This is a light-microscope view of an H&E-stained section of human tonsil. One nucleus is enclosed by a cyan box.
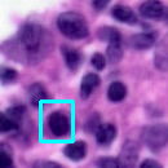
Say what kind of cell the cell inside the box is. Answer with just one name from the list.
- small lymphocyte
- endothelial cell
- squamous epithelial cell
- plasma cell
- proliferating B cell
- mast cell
plasma cell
